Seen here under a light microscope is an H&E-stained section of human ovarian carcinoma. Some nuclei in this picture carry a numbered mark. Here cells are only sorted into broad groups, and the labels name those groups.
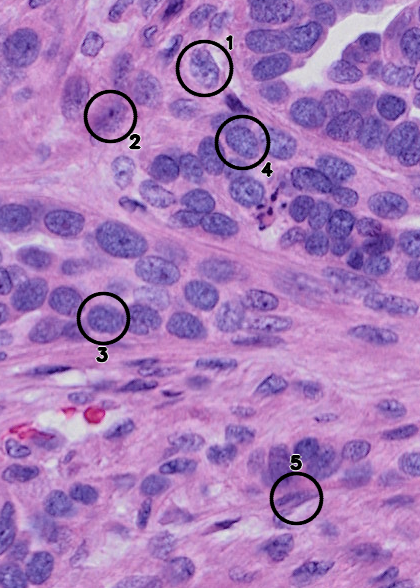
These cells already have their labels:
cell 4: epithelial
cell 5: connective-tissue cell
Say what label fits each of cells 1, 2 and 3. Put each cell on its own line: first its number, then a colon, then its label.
1: connective-tissue cell
2: connective-tissue cell
3: epithelial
